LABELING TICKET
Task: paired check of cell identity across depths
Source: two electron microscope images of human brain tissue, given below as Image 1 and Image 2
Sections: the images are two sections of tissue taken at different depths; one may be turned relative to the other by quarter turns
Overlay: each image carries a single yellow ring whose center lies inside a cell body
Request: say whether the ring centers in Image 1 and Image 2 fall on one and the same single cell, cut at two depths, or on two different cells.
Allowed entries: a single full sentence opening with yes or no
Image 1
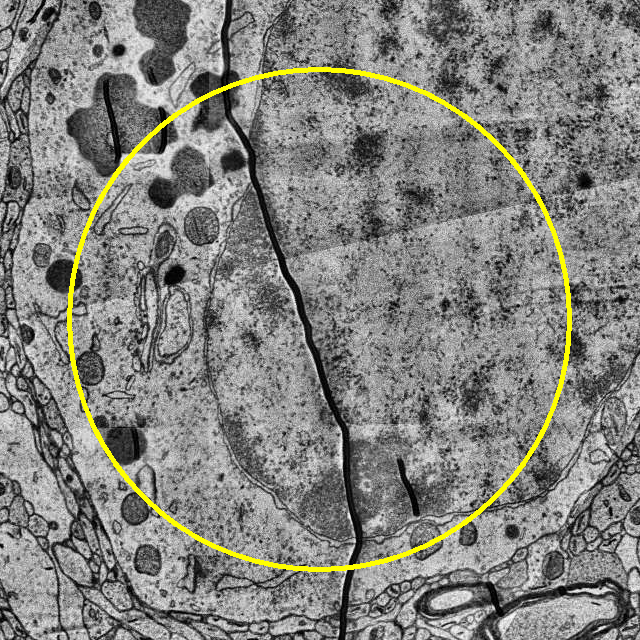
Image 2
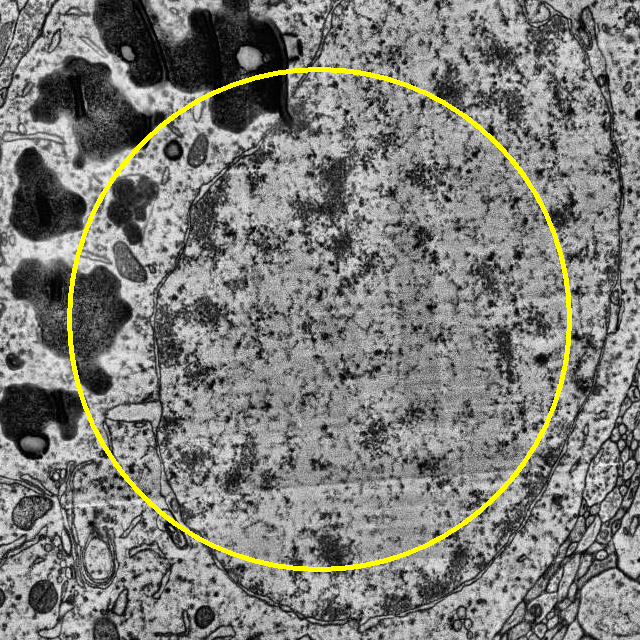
Yes, the cell inside the first ring is the cell inside the second.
